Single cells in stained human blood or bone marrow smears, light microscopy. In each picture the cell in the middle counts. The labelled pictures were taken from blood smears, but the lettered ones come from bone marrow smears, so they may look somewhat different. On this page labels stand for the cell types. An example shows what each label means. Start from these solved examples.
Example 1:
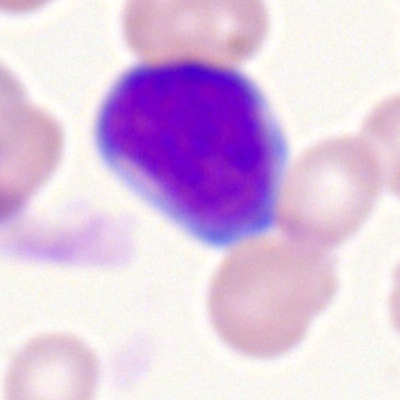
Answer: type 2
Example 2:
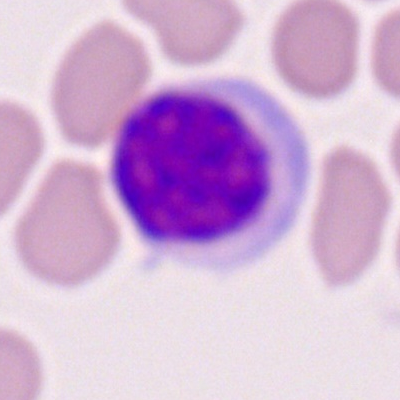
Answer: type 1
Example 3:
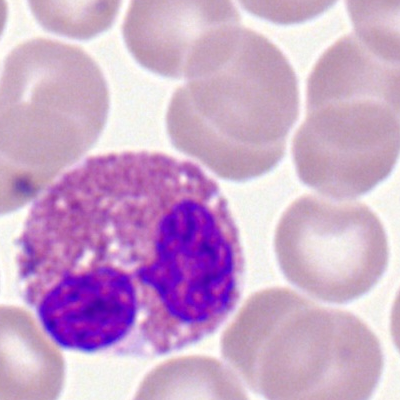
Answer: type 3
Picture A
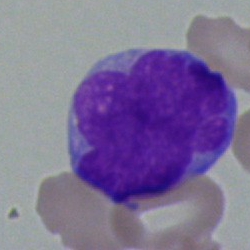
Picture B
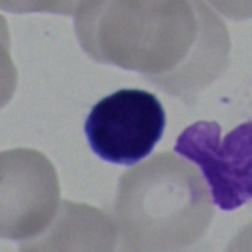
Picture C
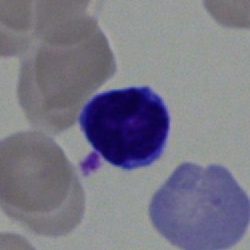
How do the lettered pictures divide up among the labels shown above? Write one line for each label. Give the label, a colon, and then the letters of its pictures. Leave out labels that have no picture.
type 2: A
type 1: B, C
